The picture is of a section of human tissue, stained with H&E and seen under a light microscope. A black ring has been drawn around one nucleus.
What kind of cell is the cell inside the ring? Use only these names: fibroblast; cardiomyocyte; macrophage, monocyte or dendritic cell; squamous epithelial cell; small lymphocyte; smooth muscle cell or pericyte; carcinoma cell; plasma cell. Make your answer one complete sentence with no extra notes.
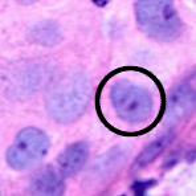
As classified here, the cell inside the ring is a carcinoma cell.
